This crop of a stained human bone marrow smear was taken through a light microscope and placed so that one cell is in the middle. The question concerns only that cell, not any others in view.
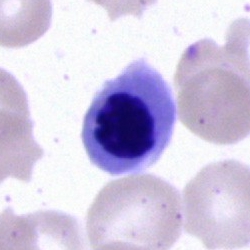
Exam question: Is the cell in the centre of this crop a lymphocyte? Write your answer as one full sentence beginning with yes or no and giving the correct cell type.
No, looking at the central cell, it is a normoblast rather than a lymphocyte.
